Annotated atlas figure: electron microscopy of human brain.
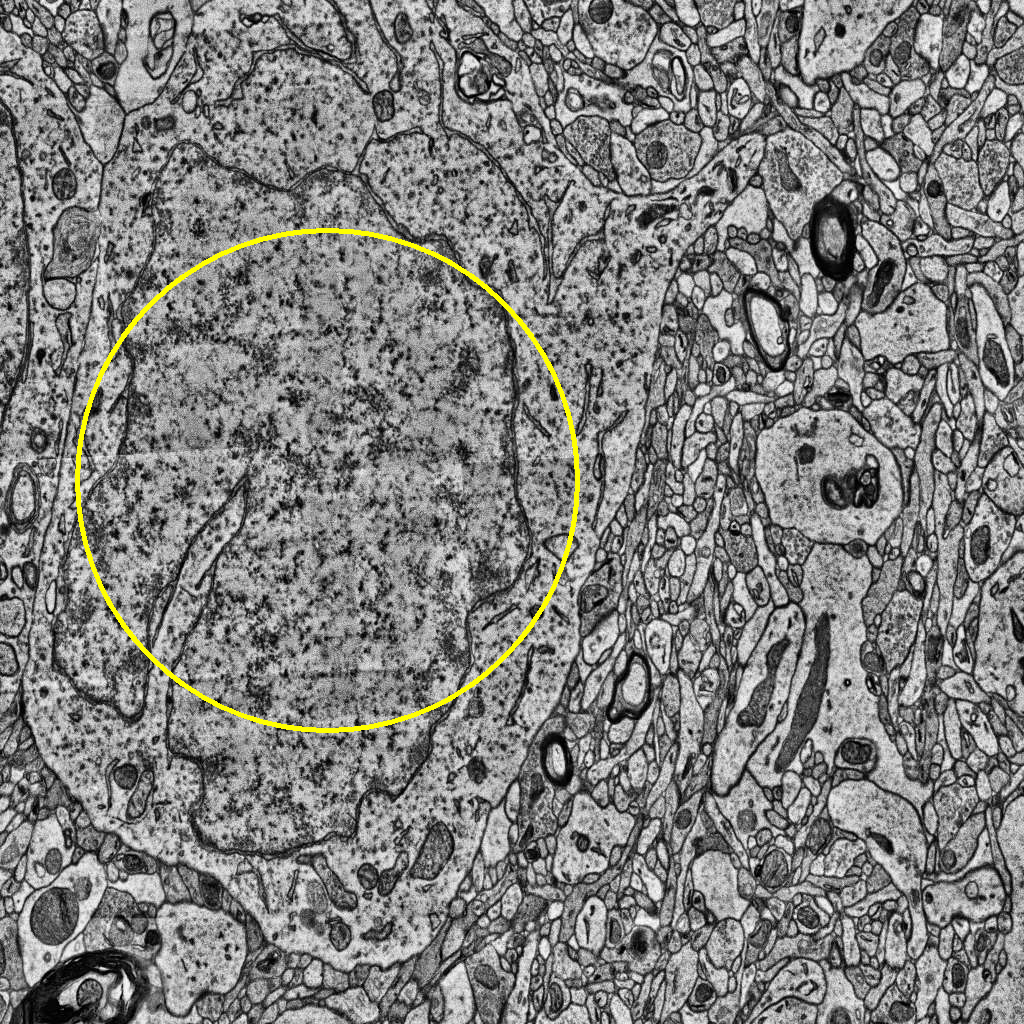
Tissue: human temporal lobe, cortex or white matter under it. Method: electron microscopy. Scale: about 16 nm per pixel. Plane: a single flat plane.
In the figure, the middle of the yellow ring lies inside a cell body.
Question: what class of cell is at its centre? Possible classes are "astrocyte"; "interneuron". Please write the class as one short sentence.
The yellow ring's centre lies in an interneuron.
